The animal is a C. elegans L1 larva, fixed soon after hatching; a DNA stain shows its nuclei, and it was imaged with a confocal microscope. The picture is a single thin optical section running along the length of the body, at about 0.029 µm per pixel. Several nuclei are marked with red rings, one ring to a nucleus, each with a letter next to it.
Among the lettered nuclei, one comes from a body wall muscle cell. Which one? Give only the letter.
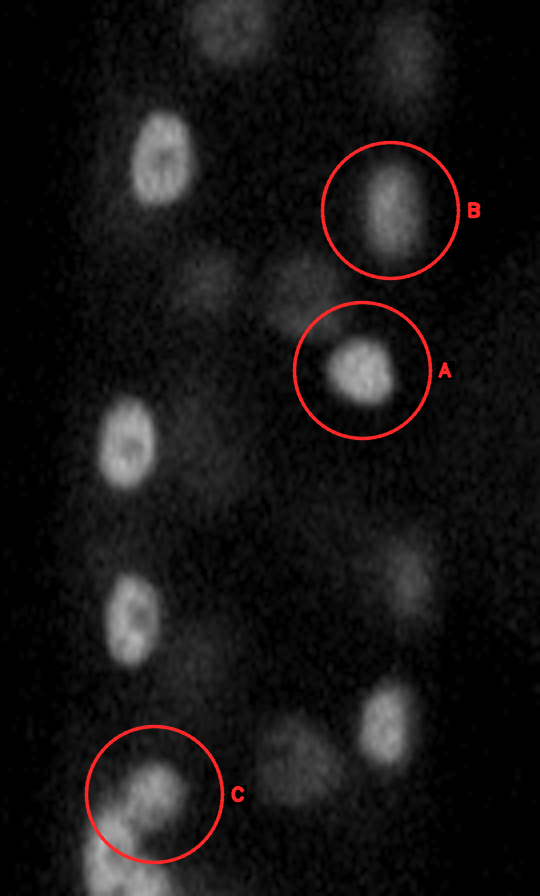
B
